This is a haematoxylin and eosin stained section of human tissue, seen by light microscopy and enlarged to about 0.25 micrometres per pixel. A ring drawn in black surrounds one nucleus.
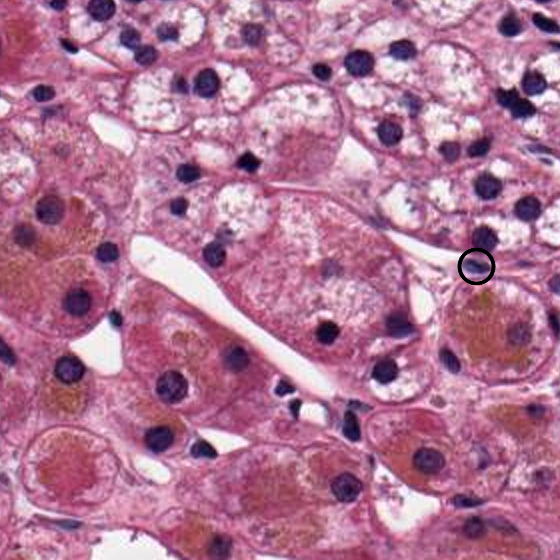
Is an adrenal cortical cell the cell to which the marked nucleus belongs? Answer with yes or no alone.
no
